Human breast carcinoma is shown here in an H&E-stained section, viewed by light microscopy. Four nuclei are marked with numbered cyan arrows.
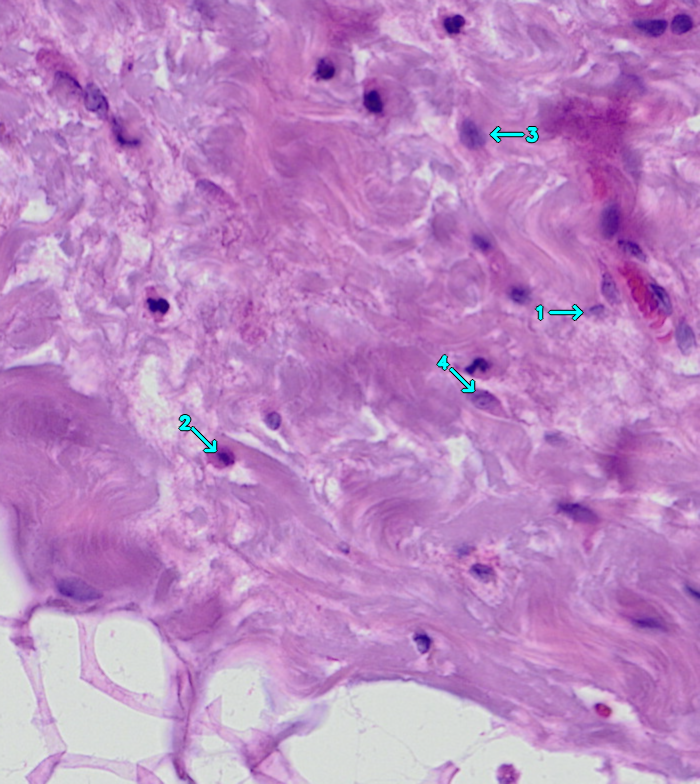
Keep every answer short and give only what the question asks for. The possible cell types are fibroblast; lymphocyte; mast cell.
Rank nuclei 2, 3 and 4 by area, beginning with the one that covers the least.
2, 4, 3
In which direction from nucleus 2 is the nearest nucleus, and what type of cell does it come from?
a fibroblast, above and to the right of nucleus 2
